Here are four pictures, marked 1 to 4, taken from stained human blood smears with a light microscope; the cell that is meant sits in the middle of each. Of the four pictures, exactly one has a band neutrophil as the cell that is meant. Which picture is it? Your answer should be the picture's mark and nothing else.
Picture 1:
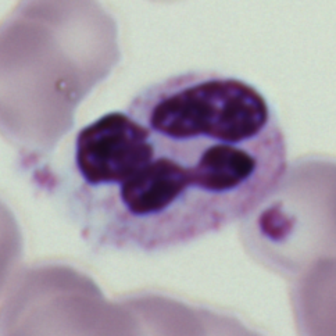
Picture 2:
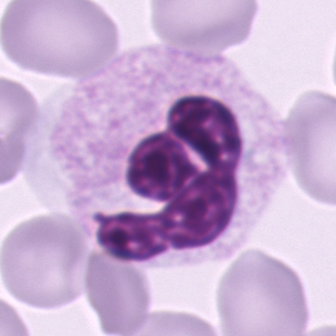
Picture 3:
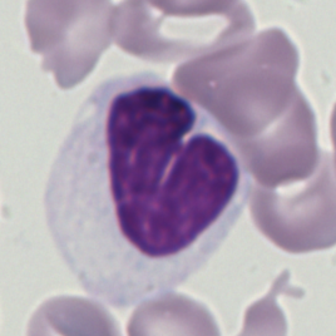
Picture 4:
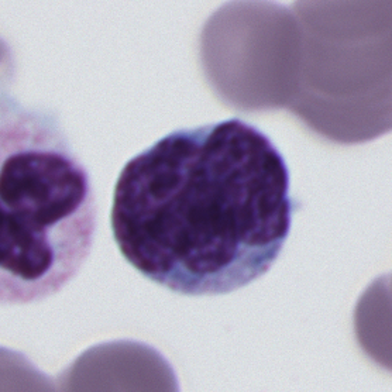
3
